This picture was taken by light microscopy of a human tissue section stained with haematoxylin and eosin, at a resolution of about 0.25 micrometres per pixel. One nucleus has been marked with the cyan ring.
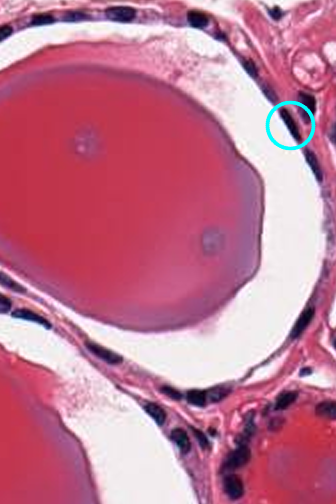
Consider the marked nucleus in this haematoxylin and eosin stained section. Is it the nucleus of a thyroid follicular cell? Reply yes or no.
yes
